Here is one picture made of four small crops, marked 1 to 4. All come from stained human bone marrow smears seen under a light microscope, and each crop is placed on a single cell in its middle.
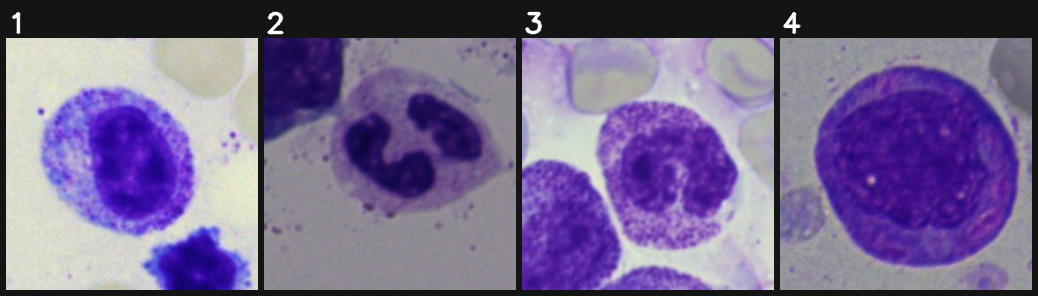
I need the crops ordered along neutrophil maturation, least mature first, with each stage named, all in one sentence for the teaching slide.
The stages, ordered from least to most mature, are crop 4 (a promyelocyte), crop 1 (a myelocyte), crop 3 (a band neutrophil) and crop 2 (a segmented neutrophil).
